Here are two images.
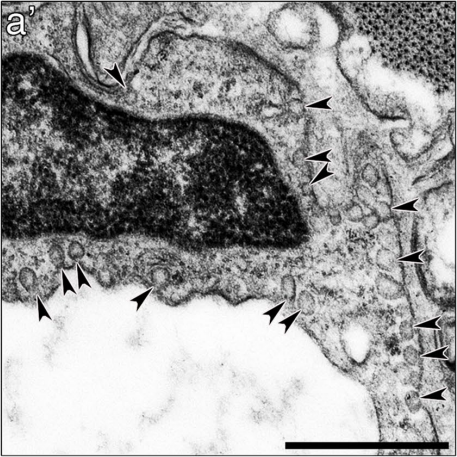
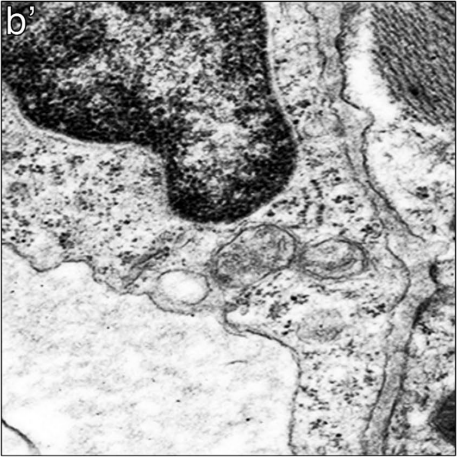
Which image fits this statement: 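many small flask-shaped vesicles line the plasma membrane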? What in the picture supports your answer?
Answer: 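Second image: the plasma membrane is smooth, with no small flask-shaped invaginations; only a few larger organelles are seen. First image: numerous small round vesicles open onto or lie just beneath the plasma membrane on both surfaces.
Answer: the first image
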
